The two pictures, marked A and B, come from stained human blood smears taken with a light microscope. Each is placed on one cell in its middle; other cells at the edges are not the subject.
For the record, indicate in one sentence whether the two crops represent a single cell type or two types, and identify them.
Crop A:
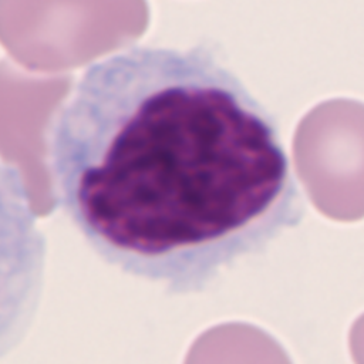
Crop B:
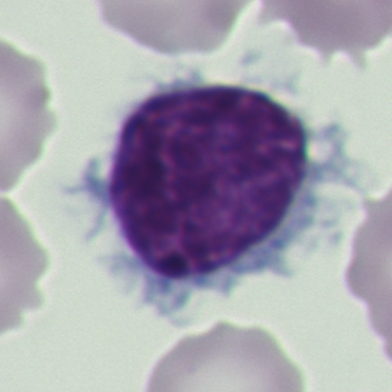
Yes, the crops both have hairy cells in the middle.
